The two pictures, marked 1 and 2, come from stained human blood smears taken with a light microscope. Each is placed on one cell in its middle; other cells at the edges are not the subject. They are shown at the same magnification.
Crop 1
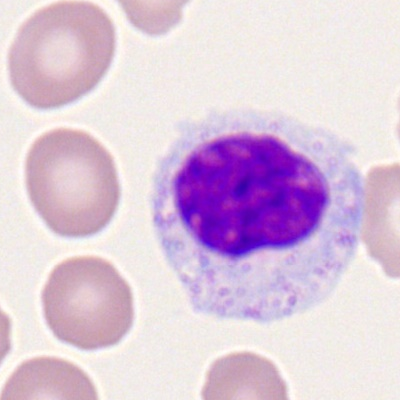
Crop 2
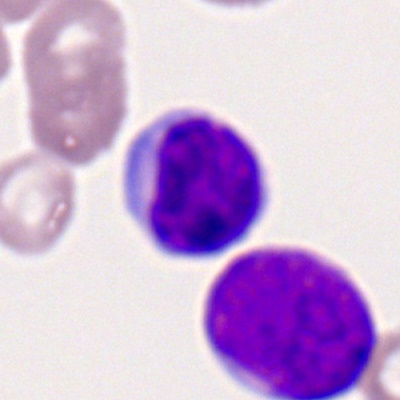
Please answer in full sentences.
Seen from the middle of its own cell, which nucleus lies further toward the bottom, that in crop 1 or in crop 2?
The nucleus in crop 2 lies further toward the bottom of its cell.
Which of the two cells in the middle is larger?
It is the cell in crop 1, about 1.5 times as large in area as the cell in crop 2.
